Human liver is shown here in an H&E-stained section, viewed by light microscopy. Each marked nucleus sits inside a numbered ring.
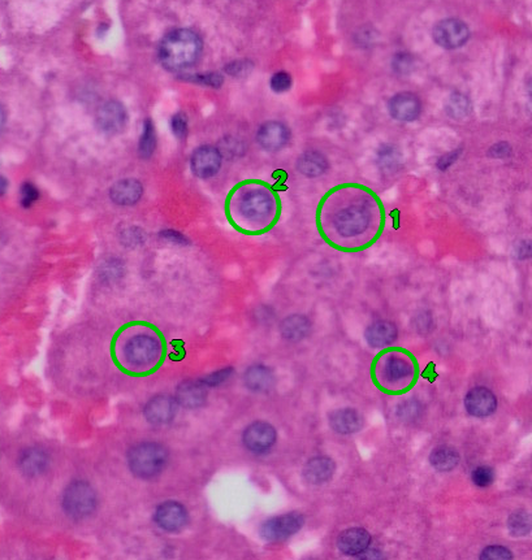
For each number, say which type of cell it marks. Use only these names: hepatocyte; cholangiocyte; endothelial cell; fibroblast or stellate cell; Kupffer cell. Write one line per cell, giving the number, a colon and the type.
1: hepatocyte
2: hepatocyte
3: hepatocyte
4: fibroblast or stellate cell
